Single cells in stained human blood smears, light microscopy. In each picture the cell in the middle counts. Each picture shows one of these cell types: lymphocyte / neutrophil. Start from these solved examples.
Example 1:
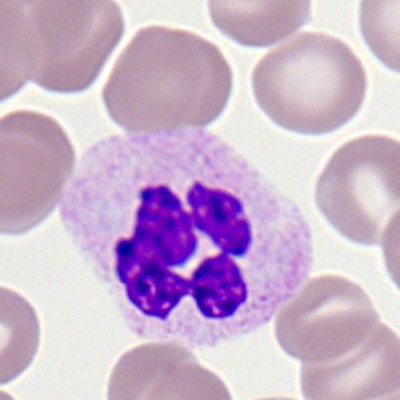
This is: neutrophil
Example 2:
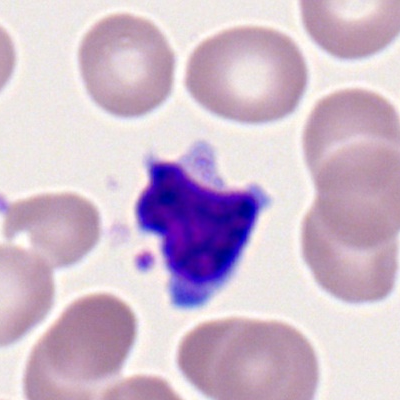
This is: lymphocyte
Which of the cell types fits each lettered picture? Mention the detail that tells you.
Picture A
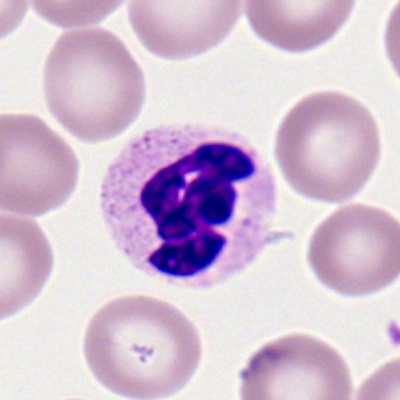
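neutrophil: The nucleus is divided into several lobes.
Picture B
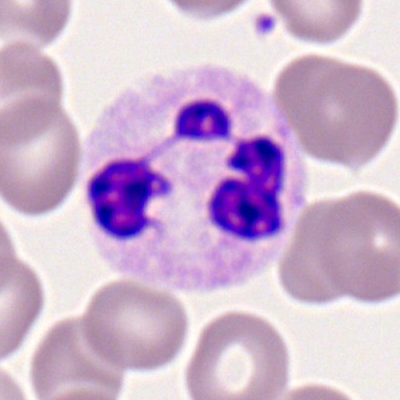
neutrophil: The cytoplasm is abundant and pale pinkish-lilac.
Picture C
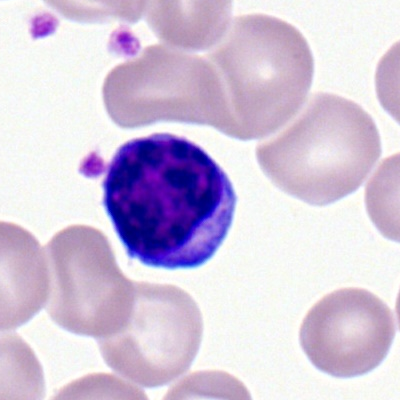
lymphocyte: The nucleus fills most of the cell.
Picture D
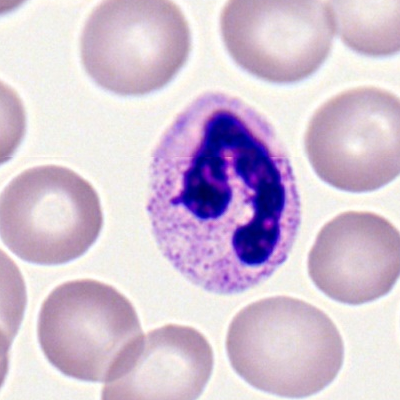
neutrophil: The nucleus is a curved band that narrows at points along its length.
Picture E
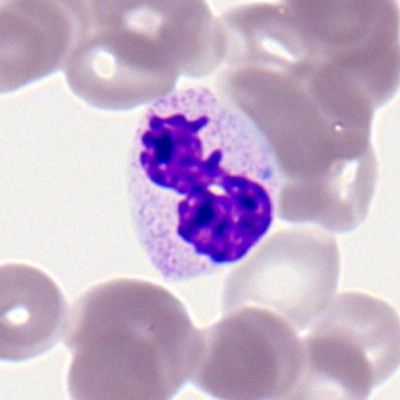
neutrophil: The cytoplasm is abundant and pale pinkish-lilac.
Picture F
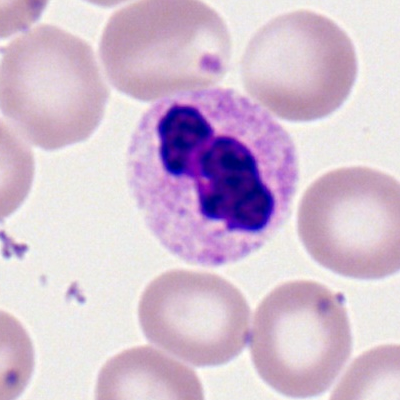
neutrophil: The nucleus is made of two lobes joined by a narrower middle part.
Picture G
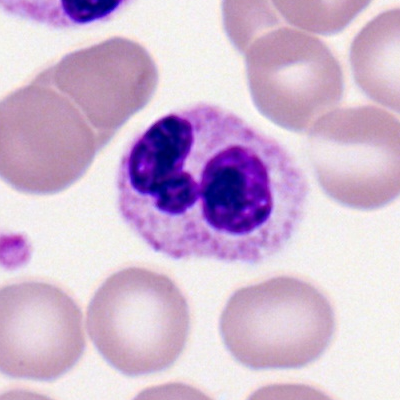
neutrophil: The nucleus is divided into two lobes.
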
